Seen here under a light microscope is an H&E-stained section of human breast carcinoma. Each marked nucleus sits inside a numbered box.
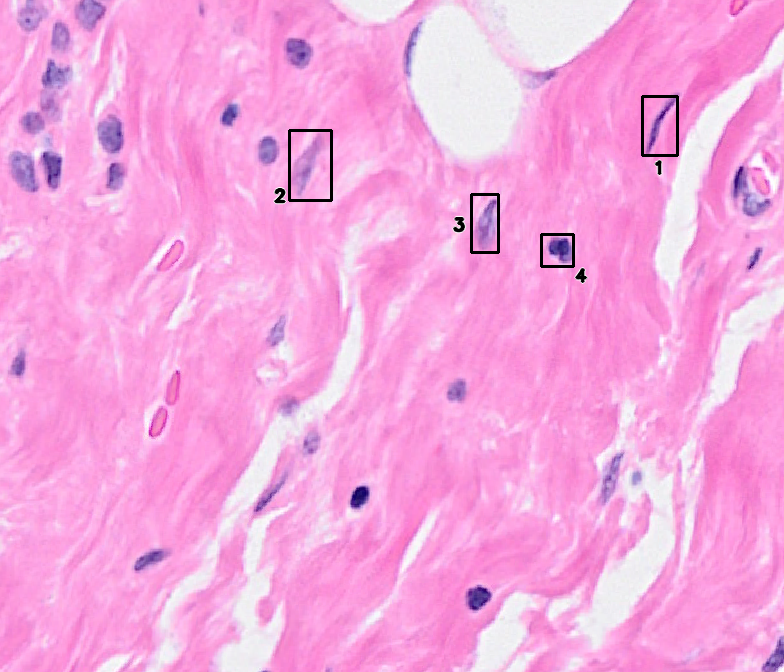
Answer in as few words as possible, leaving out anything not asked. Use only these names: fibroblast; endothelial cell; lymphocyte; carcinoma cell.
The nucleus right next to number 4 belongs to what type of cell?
fibroblast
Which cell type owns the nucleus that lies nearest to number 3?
lymphocyte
